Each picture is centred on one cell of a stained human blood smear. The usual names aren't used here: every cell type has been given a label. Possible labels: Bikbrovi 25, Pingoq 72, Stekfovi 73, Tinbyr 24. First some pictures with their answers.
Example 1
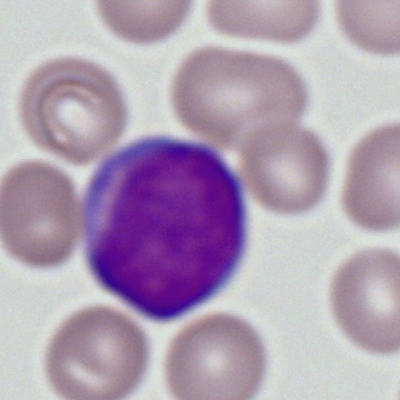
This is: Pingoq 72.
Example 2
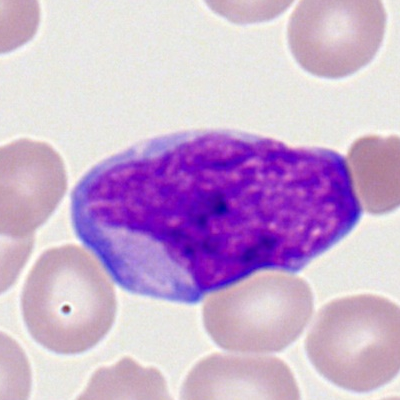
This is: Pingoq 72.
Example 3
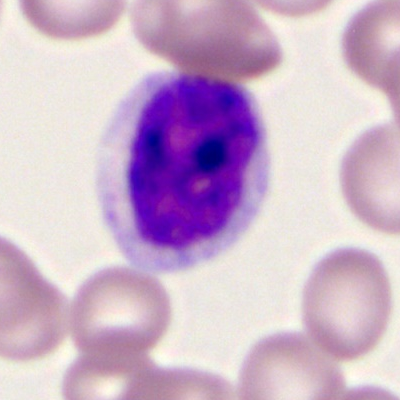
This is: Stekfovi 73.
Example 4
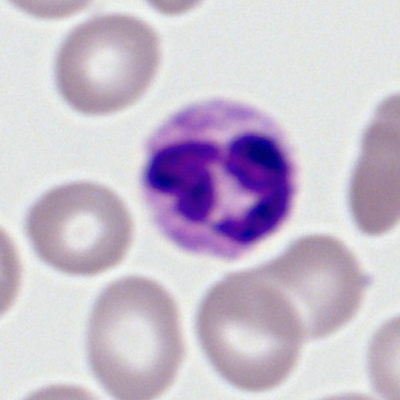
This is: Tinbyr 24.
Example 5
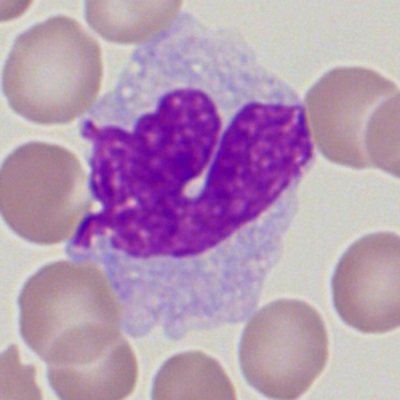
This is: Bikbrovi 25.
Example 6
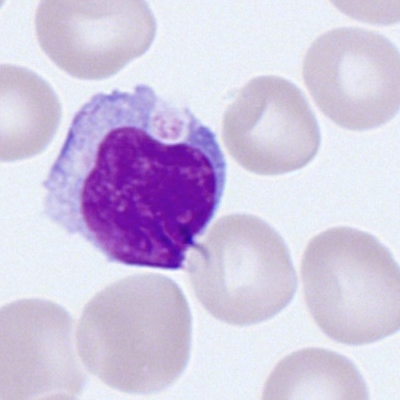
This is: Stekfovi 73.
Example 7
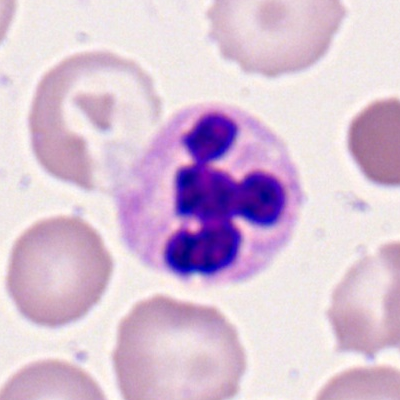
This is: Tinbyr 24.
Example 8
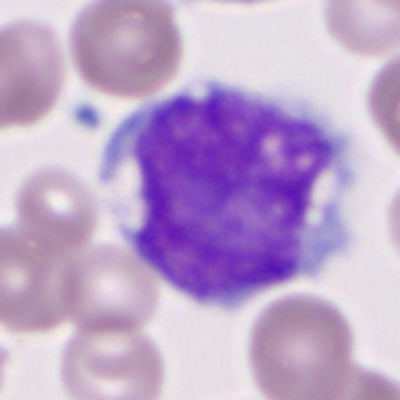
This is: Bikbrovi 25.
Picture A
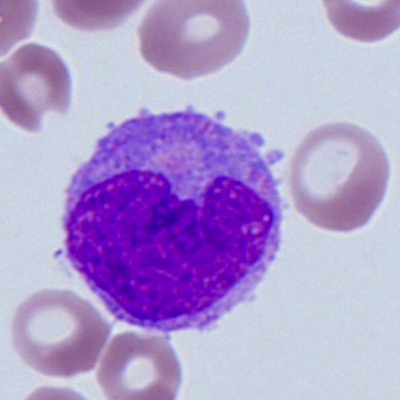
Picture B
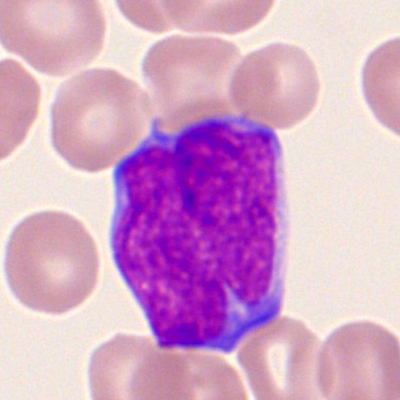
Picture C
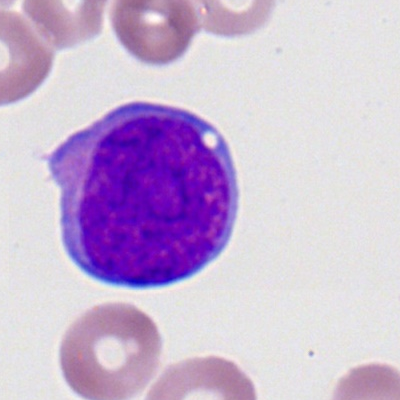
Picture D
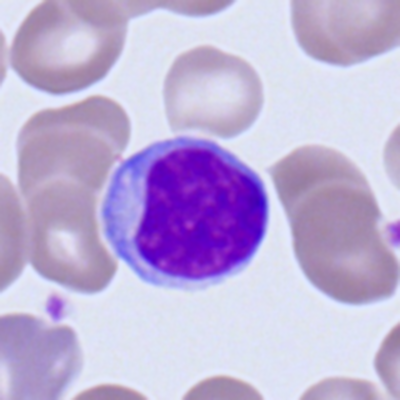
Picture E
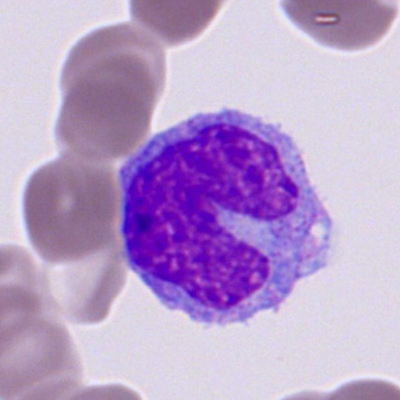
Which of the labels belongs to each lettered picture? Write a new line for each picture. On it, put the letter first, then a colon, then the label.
A: Bikbrovi 25.
B: Pingoq 72.
C: Pingoq 72.
D: Stekfovi 73.
E: Bikbrovi 25.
